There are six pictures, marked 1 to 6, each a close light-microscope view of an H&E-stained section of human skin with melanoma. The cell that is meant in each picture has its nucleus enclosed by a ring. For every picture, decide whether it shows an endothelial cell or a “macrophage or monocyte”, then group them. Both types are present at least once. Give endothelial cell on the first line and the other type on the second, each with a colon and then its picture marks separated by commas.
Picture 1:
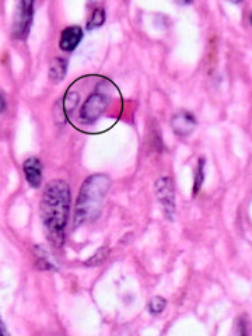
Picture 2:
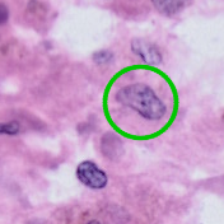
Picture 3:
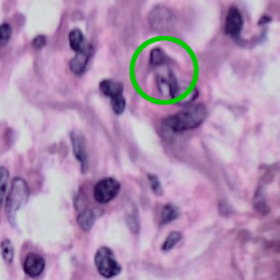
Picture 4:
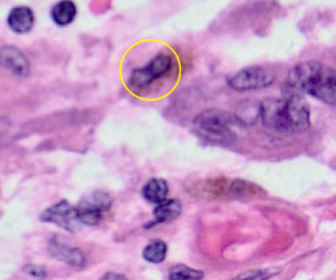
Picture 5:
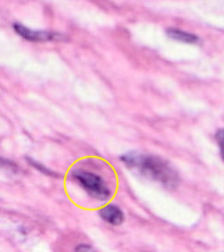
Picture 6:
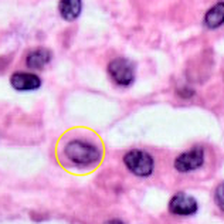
endothelial cell: 1, 3
macrophage or monocyte: 2, 4, 5, 6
